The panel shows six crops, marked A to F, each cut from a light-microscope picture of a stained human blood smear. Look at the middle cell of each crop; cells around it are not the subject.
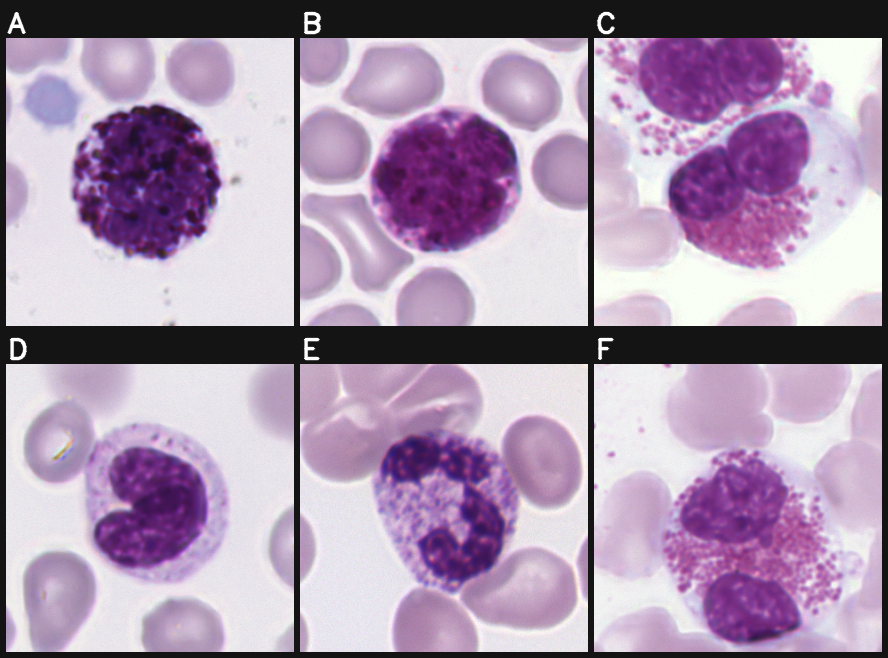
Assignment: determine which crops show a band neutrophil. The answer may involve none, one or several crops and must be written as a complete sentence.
Among all the crops, crop D is the only one to show a band neutrophil.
